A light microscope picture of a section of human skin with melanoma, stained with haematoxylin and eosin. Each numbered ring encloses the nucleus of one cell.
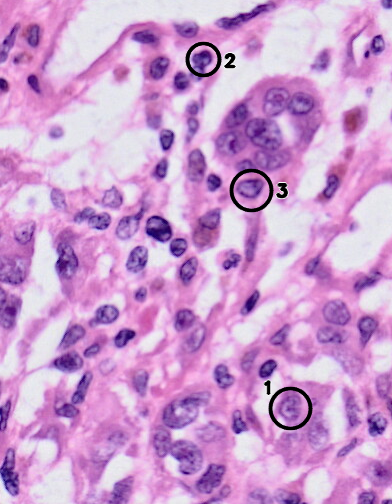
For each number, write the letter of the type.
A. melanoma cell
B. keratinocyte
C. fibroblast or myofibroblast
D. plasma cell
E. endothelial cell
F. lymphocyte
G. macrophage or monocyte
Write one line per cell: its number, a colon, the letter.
1: A
2: F
3: G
